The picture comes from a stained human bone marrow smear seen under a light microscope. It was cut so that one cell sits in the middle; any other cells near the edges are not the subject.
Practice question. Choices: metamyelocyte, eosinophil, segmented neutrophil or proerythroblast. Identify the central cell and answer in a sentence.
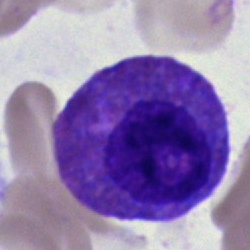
What the crop centres on is an eosinophil.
